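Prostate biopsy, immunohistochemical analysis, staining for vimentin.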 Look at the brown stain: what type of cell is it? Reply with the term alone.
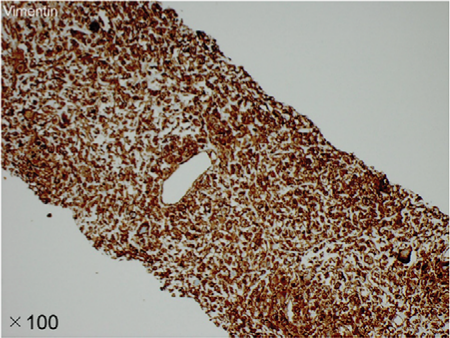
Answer: Tumor cells.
